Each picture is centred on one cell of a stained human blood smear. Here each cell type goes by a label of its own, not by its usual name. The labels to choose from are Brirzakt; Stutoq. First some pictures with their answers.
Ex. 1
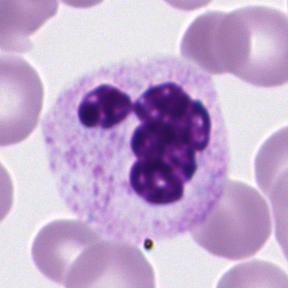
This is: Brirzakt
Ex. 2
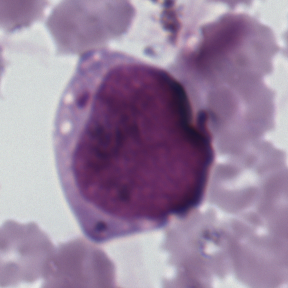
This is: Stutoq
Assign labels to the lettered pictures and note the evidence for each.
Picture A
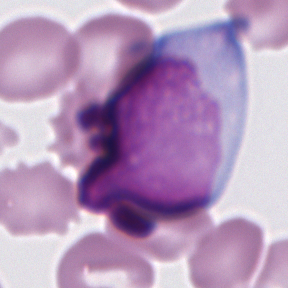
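Stutoq. Reason: The nucleus fills most of the cell.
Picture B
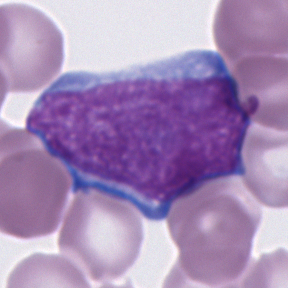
Stutoq. Reason: The cytoplasm is blue.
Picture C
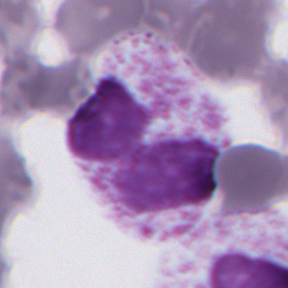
Brirzakt. Reason: The nucleus is made of two large lobes.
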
